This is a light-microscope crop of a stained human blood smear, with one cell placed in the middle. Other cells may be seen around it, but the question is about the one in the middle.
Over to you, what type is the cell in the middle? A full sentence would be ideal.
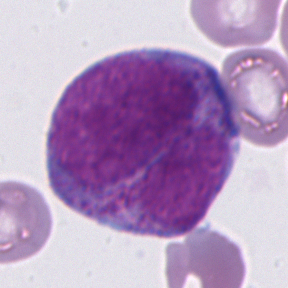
In the crop, the cell of interest at the centre is a promyelocyte.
